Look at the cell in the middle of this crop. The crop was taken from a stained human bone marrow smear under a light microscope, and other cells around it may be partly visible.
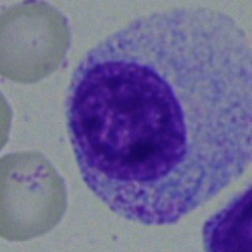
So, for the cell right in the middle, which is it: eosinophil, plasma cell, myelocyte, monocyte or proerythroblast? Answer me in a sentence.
By type, the central cell of the crop is a myelocyte.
